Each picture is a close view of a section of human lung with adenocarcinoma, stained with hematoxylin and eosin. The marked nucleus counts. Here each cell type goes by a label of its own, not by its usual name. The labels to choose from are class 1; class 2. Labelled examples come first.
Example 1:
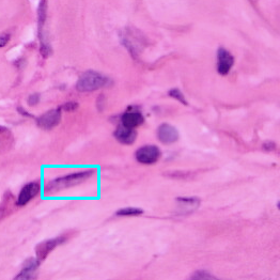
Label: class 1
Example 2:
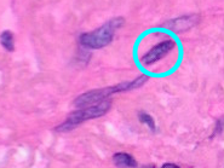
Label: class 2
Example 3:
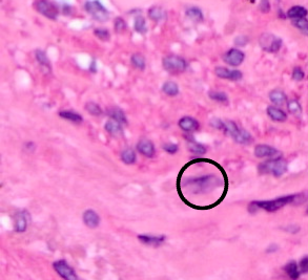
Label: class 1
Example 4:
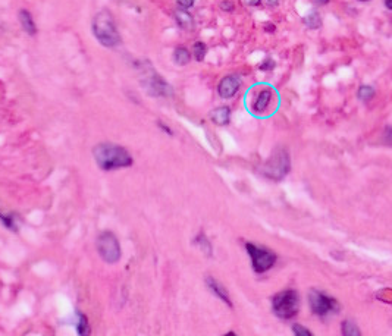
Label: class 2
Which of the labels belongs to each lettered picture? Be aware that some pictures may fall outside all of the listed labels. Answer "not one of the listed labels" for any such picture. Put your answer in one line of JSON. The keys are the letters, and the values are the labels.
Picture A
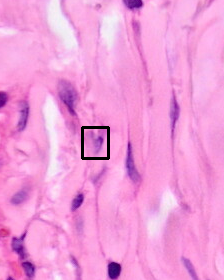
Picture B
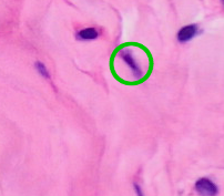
{"A": "class 1", "B": "class 1"}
